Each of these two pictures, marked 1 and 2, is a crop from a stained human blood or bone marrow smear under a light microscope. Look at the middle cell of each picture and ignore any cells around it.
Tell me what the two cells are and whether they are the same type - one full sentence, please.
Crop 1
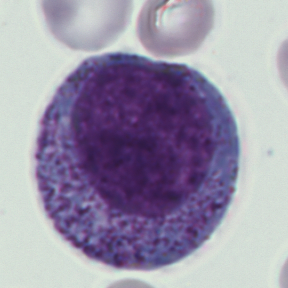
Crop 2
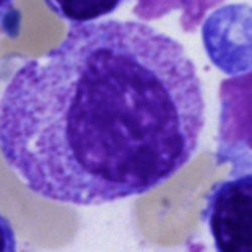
Yes, both crops show promyelocytes, one in each.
